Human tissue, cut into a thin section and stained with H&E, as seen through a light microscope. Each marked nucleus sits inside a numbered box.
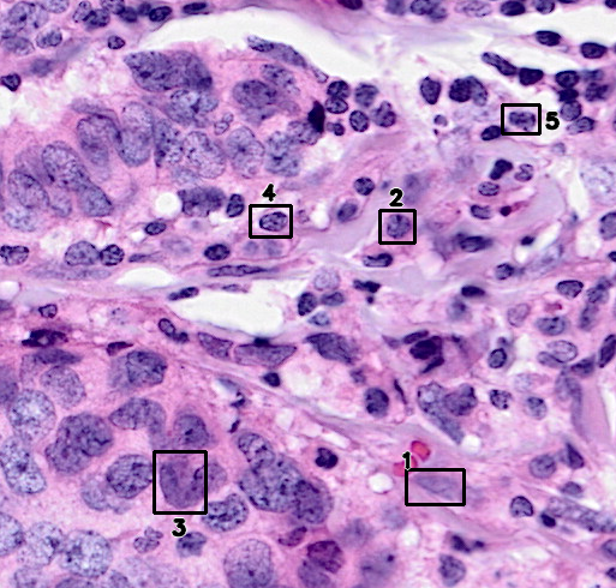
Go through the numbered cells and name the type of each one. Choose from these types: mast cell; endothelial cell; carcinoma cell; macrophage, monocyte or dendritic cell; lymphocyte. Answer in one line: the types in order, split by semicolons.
endothelial cell; mast cell; carcinoma cell; lymphocyte; lymphocyte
